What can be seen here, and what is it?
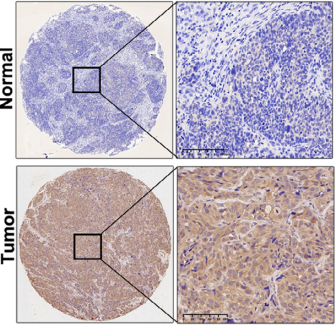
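The tumour core is brown throughout; at higher power it shows crowded, plump cells with abundant brown cytoplasm and larger, rounder blue nuclei, arranged in sheets with thin intervening stromal strands. The difference in colour between the two rows is striking even at low power.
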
